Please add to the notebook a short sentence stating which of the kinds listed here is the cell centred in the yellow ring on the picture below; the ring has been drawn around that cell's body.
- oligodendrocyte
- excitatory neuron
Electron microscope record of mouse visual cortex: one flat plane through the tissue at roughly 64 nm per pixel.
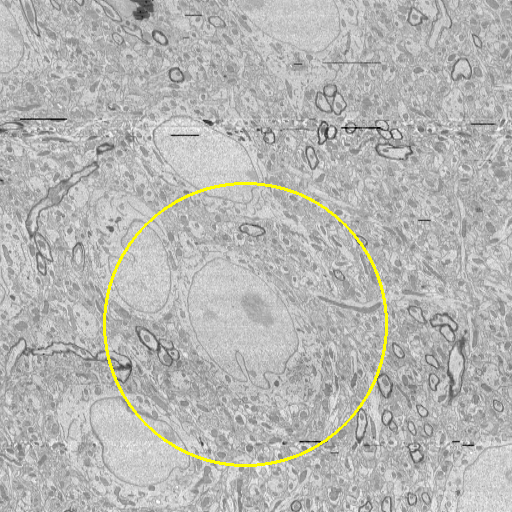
The cell centred in the yellow ring is an excitatory neuron.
